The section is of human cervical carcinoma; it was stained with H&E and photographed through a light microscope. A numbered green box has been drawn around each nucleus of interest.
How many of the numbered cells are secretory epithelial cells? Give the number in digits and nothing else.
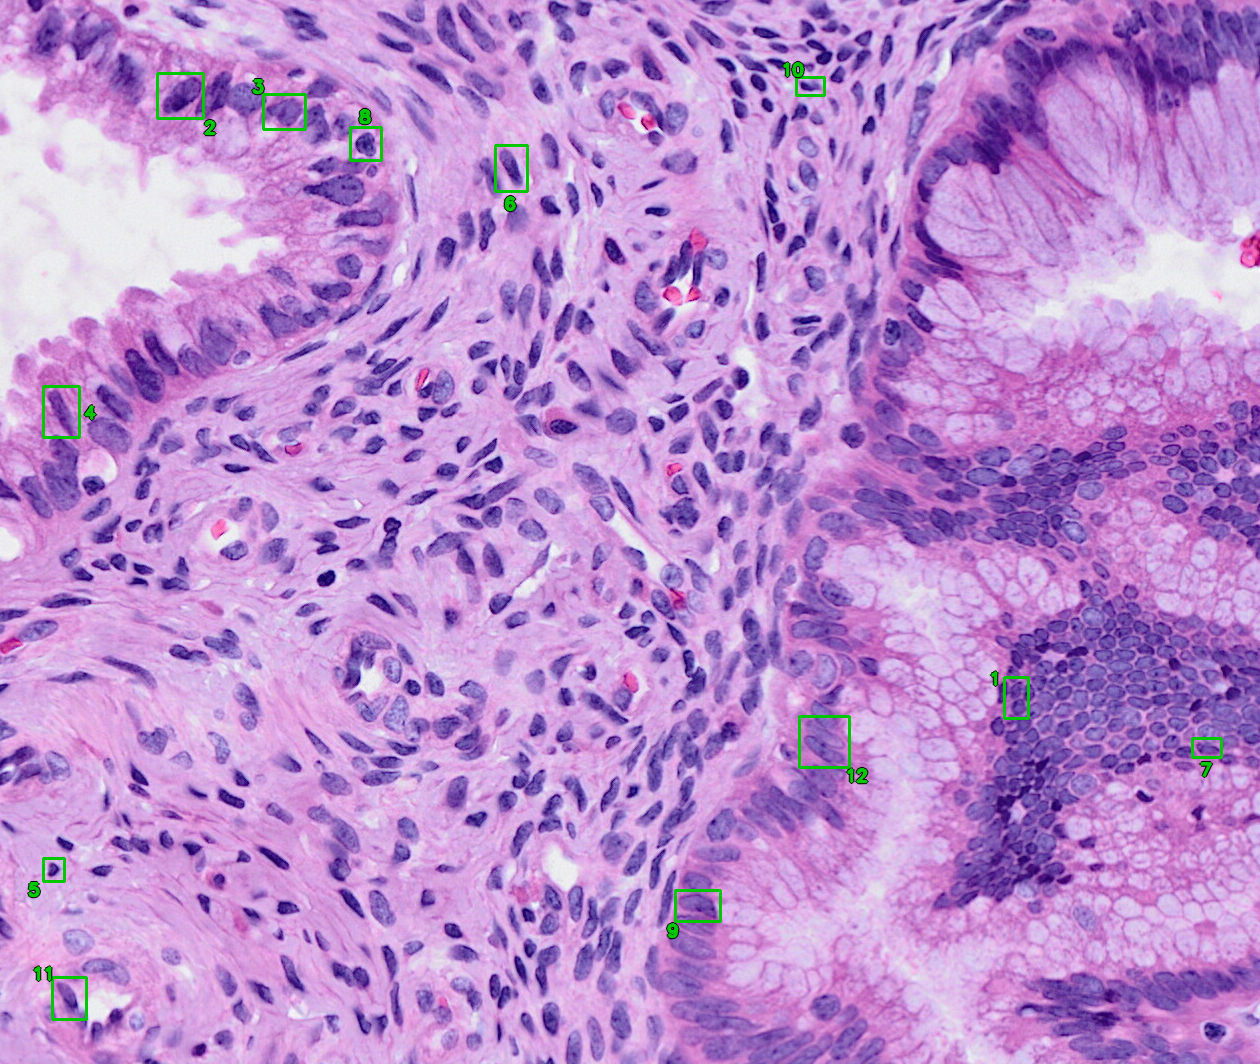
7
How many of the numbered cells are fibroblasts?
3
